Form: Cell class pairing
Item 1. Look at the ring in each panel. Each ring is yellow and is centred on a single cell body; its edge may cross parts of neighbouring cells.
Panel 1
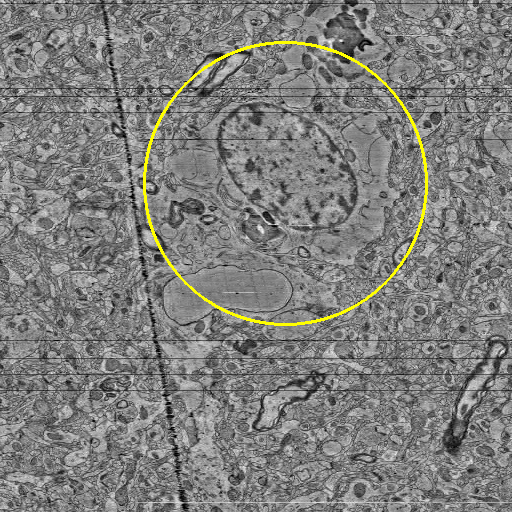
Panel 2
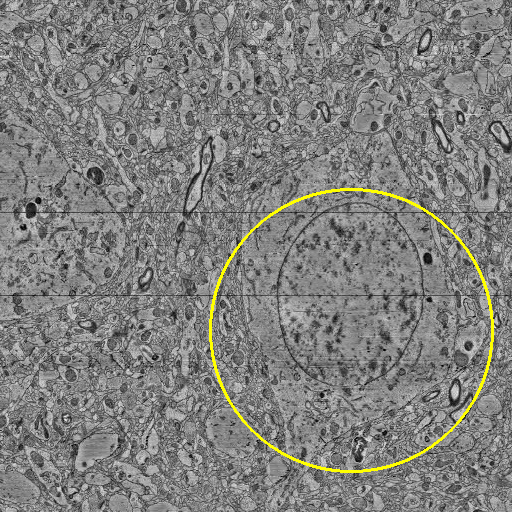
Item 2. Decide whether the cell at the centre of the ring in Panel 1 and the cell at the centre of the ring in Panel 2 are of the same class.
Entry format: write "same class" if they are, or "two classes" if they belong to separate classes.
two classes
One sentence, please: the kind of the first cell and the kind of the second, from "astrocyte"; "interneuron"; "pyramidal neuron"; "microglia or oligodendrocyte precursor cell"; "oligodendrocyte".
The ring in the first picture surrounds an astrocyte, and the ring in the second surrounds a pyramidal neuron.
